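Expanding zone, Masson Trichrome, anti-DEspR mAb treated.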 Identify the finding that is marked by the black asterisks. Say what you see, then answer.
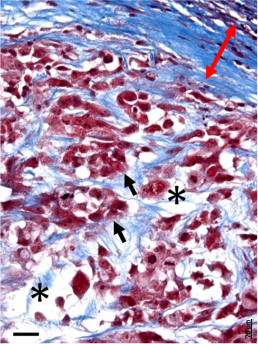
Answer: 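Cell loss with decrease collagen density. The asterisks lie in pale, empty-looking spaces with few cells. The blue collagen is sparse and loose around these spaces.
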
